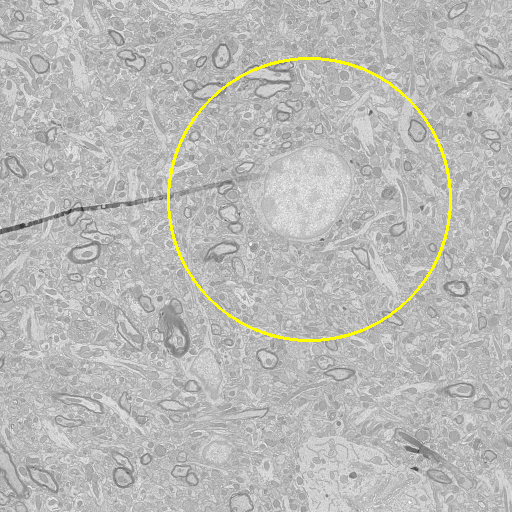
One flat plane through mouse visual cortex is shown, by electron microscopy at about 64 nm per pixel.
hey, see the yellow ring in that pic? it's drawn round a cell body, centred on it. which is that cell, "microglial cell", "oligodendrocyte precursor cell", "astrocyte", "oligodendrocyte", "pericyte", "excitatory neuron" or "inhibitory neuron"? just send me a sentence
The cell in the ring is an oligodendrocyte.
